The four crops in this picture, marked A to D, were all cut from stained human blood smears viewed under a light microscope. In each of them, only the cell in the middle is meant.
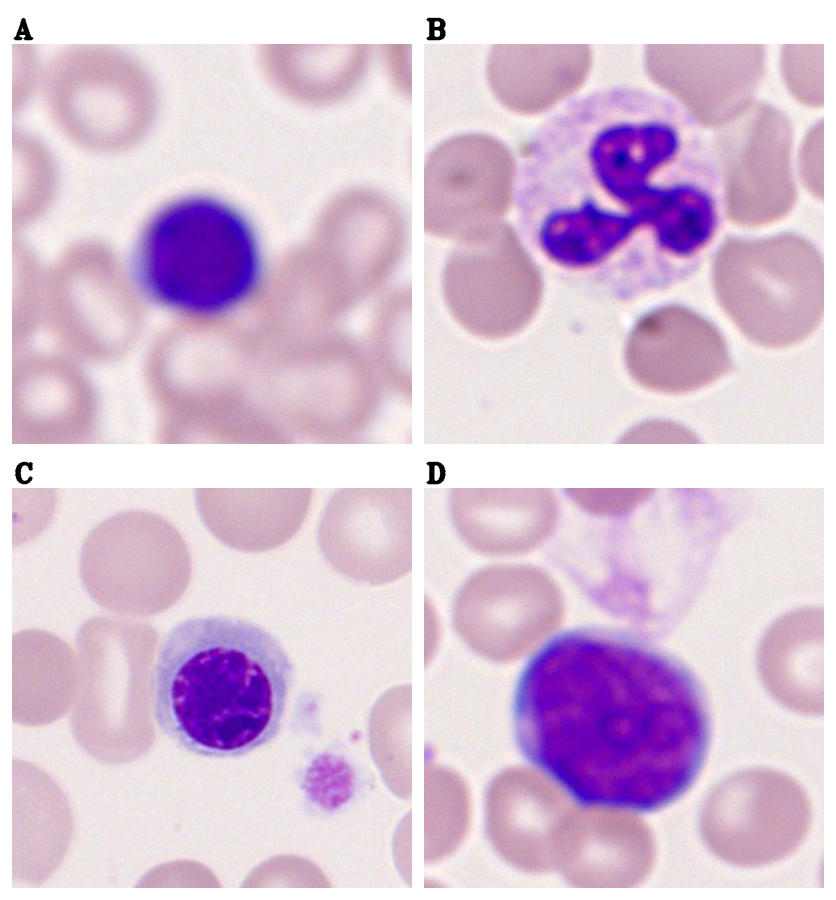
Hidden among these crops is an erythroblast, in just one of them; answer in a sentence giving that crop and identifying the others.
Summary: crop C shows an erythroblast, while crop A is a lymphocyte, crop B is a segmented neutrophil and crop D is a myeloblast.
